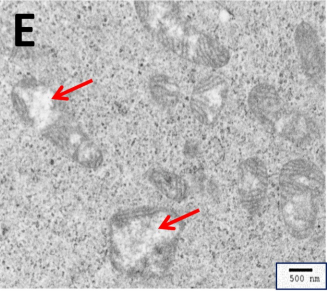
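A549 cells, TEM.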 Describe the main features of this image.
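Grey granular cytoplasm holds several organelles with double membranes and parallel inner folds. Two of them are enlarged and irregular, and a large part of each is pale and nearly empty, with the folds pushed to the rim.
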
